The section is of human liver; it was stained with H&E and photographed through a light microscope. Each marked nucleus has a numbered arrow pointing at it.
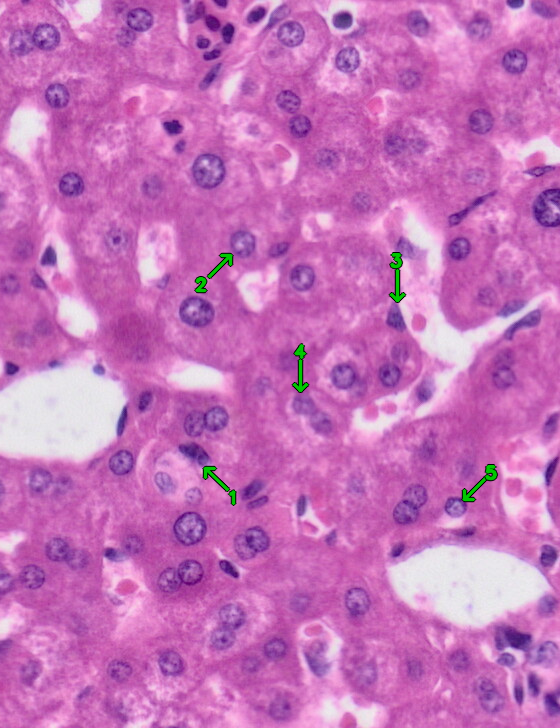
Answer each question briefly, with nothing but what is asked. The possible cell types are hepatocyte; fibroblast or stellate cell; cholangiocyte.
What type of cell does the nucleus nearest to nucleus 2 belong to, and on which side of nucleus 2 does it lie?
a fibroblast or stellate cell, to the right of nucleus 2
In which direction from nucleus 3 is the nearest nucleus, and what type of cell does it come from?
a hepatocyte; below nucleus 3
